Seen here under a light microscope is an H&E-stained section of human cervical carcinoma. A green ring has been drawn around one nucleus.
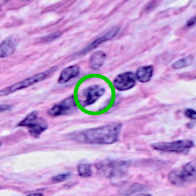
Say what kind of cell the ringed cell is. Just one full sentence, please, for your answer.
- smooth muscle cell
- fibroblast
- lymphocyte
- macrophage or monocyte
It is a lymphocyte that the ringed cell represents.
